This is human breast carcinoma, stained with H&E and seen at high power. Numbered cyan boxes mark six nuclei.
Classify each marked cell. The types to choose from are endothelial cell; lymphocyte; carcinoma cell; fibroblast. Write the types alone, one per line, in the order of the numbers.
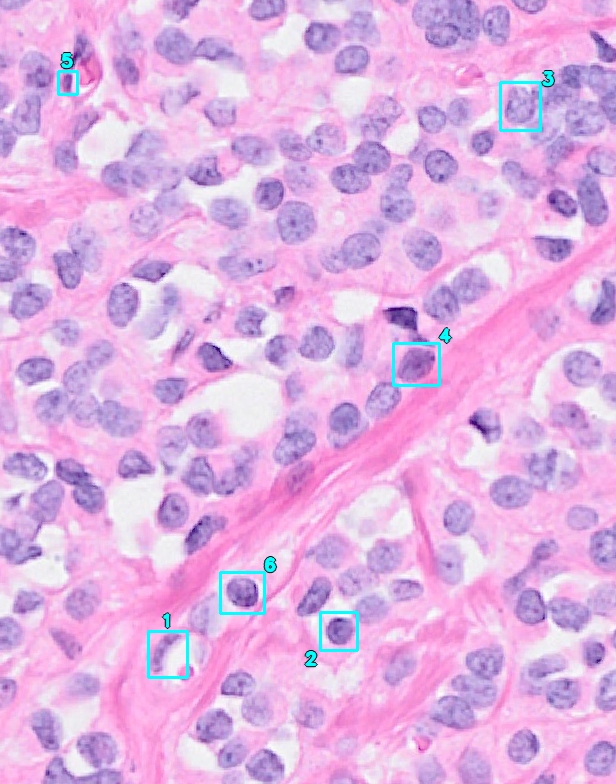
endothelial cell
carcinoma cell
carcinoma cell
carcinoma cell
endothelial cell
carcinoma cell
